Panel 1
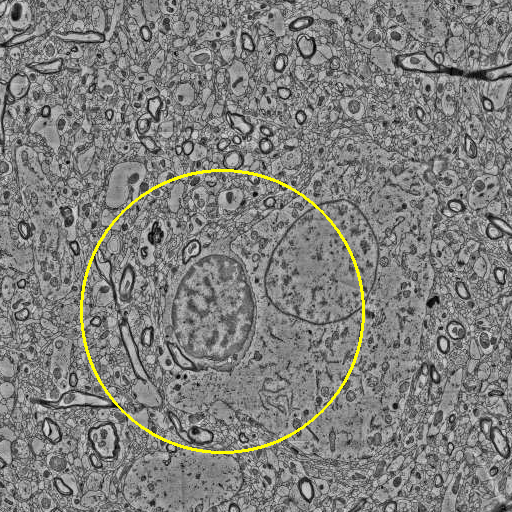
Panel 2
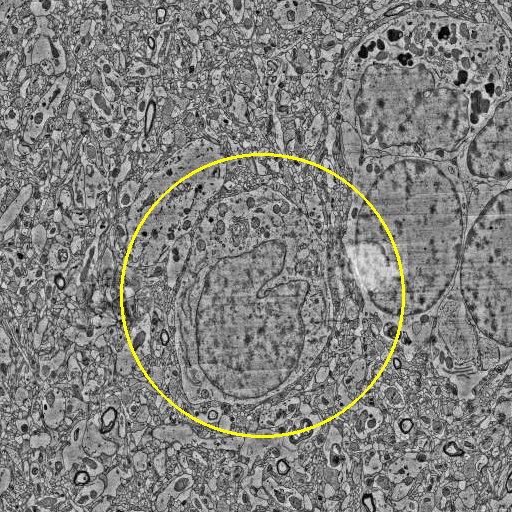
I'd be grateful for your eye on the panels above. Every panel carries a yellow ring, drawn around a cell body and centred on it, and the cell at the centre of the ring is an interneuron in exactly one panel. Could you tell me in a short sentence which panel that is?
Panel 2 is the one with it at the centre of the ring.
